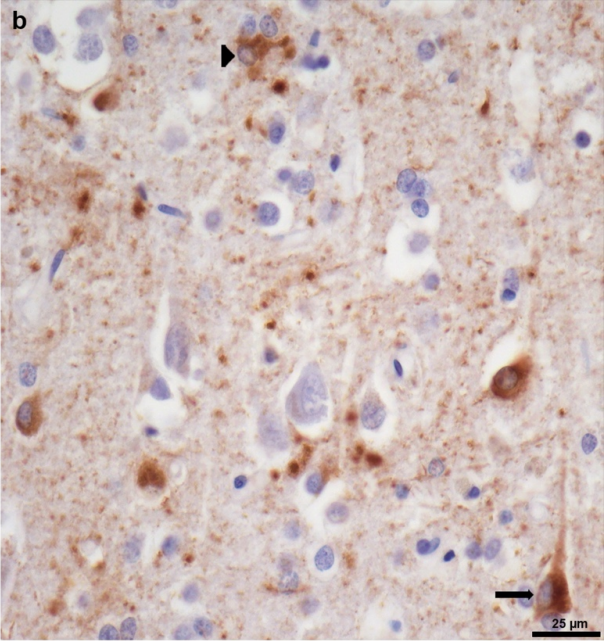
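Cerebral cortex with scattered nerve cells and glial cells, some stained brown. At the lower right a triangular nerve cell with an apical process has a cytoplasm filled with brown stain, and another rounded nerve cell on the right is also brown, while many other neurons stay pale; near the top an astrocyte with a small round nucleus is surrounded by irregular brown granular processes. The neuropil between cells carries fine brown dots and short threads.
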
